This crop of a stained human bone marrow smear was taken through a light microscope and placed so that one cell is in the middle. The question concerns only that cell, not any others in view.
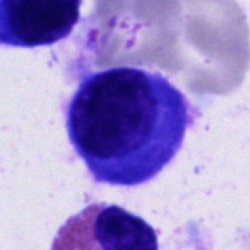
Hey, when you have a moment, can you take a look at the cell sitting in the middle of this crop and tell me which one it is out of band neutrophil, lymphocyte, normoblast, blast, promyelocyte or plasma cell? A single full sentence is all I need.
The cell positioned in the middle of the field is a plasma cell.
